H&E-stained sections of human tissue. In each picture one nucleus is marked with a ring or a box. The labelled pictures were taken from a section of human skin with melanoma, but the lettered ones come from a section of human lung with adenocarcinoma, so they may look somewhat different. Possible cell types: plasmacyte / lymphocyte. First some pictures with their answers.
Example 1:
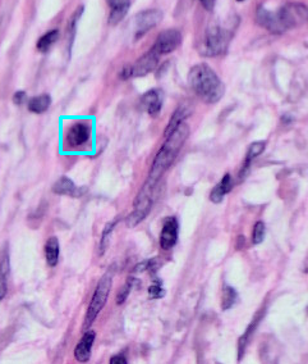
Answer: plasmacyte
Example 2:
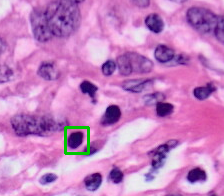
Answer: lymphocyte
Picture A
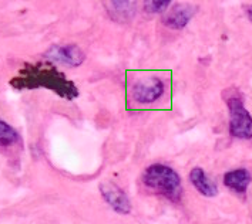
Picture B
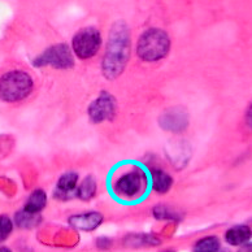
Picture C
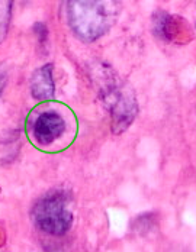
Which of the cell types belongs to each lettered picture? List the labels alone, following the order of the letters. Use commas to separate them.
plasmacyte, lymphocyte, lymphocyte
